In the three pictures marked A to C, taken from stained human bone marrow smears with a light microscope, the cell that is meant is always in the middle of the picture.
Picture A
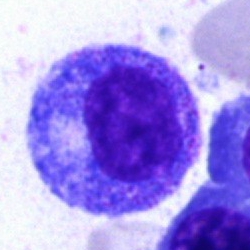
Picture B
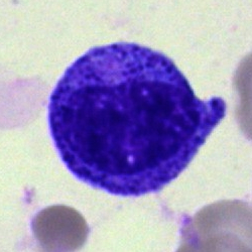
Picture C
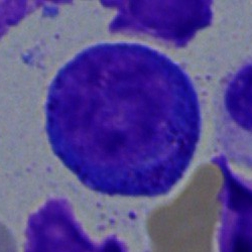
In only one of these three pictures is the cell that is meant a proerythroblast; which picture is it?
C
